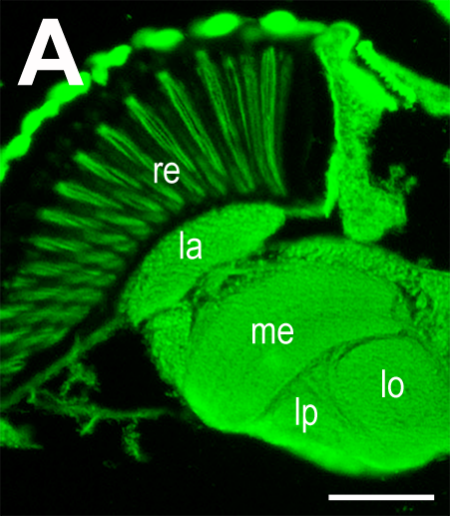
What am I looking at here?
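A section through a fly head showing the retina, with its elongated photoreceptor units fanning out radially beneath the curved outer surface of the eye, resting on the crescent-shaped lamina. Deeper lie the medulla and, beside it, the lobula and lobula plate, all as finely textured green neuropil without holes or gaps.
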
